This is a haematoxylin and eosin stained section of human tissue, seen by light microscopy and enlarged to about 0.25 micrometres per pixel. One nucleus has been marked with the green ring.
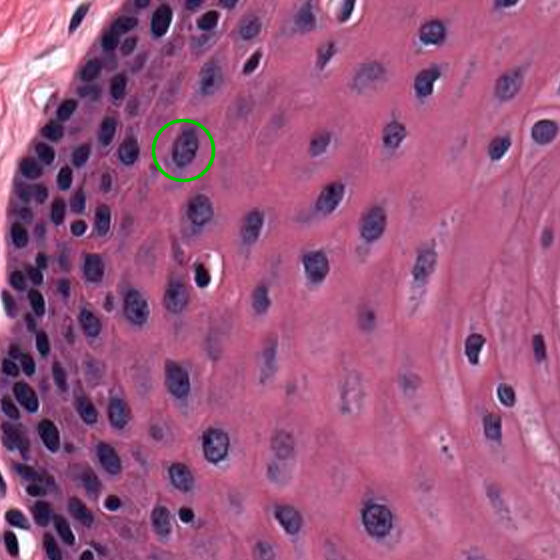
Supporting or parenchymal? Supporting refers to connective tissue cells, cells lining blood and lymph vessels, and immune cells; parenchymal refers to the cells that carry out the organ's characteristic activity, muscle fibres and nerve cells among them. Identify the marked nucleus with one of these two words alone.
parenchymal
